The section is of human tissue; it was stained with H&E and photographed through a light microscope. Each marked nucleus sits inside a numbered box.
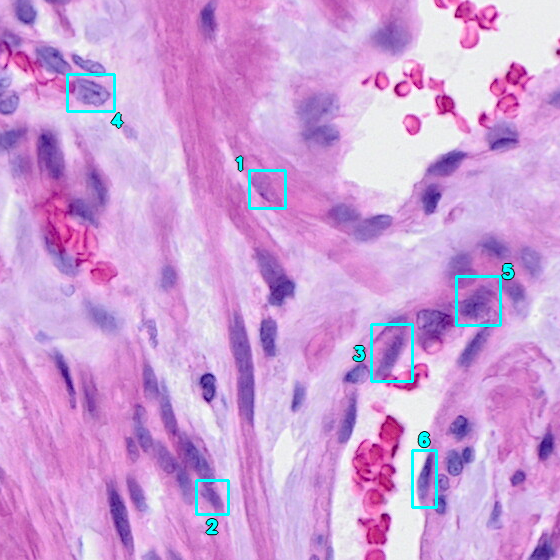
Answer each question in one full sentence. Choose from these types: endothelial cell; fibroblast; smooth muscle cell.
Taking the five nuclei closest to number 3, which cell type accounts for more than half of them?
Endothelial cells make up most of the five nuclei closest to number 3.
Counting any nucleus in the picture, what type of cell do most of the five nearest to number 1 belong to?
Around number 1, most of the five nearest nuclei are those of endothelial cells.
